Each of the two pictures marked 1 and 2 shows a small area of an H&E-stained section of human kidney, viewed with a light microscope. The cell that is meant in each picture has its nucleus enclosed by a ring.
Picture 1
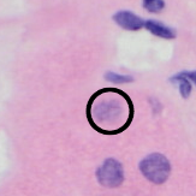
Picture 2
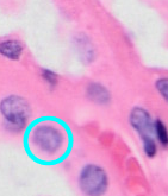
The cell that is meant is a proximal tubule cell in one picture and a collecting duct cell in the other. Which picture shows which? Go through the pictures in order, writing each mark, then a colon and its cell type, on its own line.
1: proximal tubule cell
2: collecting duct cell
